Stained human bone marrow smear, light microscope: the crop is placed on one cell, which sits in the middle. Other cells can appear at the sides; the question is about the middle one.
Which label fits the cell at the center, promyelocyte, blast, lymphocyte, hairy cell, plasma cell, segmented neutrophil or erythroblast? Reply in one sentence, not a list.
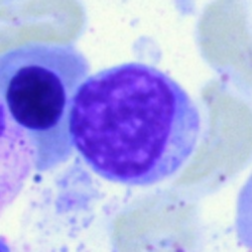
The cell of interest, in the center, is a lymphocyte.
